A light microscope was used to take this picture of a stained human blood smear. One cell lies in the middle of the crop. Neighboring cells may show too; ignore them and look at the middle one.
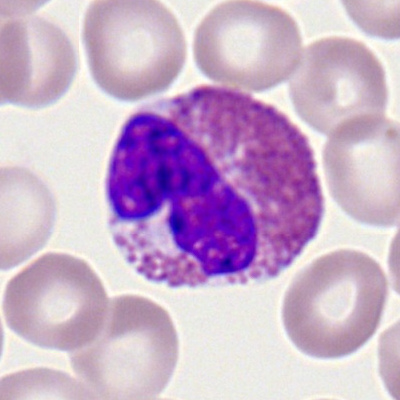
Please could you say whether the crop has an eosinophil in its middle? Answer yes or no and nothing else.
yes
